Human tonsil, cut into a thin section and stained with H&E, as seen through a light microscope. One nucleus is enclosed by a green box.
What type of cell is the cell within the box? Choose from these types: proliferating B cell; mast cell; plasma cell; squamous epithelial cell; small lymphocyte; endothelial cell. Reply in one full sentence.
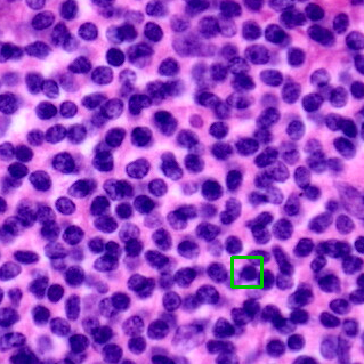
On this particular slide, the cell within the box is a small lymphocyte.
